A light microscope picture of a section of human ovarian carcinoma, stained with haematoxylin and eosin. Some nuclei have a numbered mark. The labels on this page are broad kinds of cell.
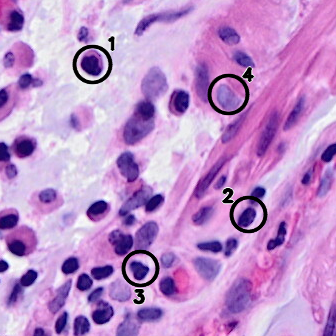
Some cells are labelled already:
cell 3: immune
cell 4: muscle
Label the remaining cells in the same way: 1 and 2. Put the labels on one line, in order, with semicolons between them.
immune; immune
